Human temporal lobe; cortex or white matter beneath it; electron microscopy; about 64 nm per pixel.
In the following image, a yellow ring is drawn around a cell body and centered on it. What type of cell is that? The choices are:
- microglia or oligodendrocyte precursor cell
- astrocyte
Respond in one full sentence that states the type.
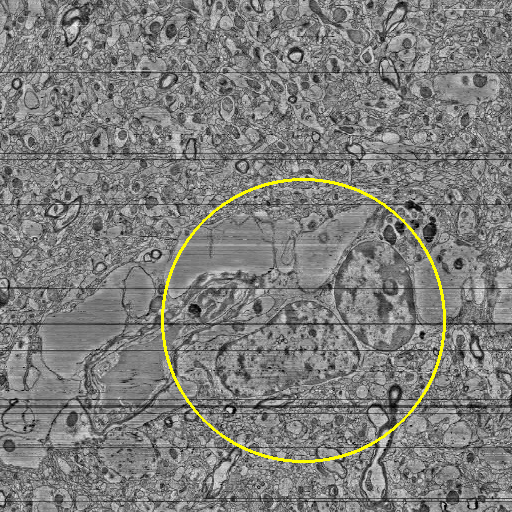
The cell at the center of the yellow ring in the image is a microglial cell or oligodendrocyte precursor cell.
